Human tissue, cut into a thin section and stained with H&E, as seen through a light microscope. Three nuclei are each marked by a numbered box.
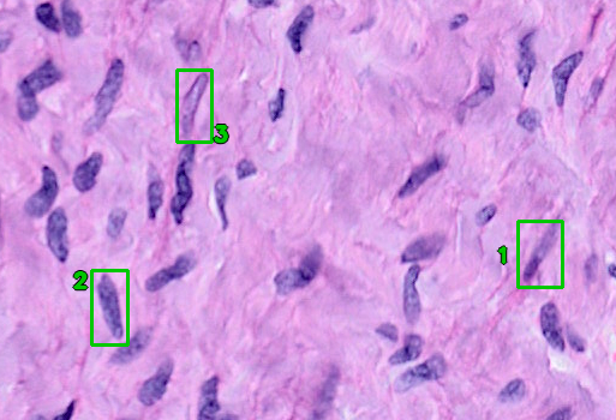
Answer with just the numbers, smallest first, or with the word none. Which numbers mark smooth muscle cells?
1, 3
